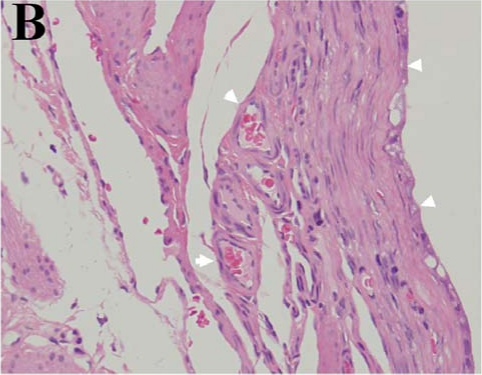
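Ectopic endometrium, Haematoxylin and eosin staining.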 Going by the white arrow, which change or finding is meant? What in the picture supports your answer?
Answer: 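Neovascularization. The arrow points to small vessel-like channels packed with red blood cells. These channels lie within a loose pink fibrous stroma.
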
